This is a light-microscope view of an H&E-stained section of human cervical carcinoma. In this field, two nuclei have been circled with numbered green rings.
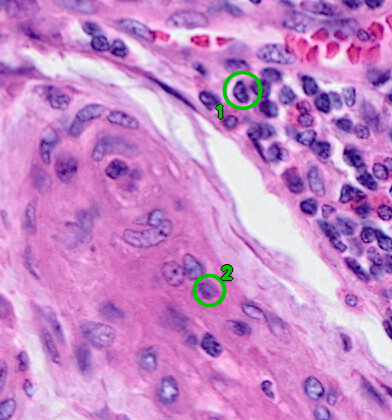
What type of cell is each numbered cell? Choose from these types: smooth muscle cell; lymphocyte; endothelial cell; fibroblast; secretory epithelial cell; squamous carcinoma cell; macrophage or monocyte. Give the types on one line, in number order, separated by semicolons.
lymphocyte; smooth muscle cell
